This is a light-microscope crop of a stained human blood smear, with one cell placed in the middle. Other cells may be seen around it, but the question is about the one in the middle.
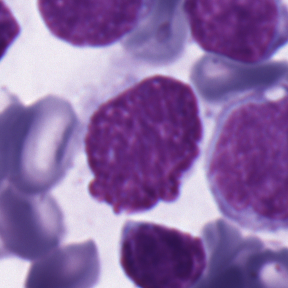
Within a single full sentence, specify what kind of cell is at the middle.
This crop has a myeloblast at its centre.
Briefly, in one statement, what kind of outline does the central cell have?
The cell outline lacks smoothness, being ragged or extended into projections.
